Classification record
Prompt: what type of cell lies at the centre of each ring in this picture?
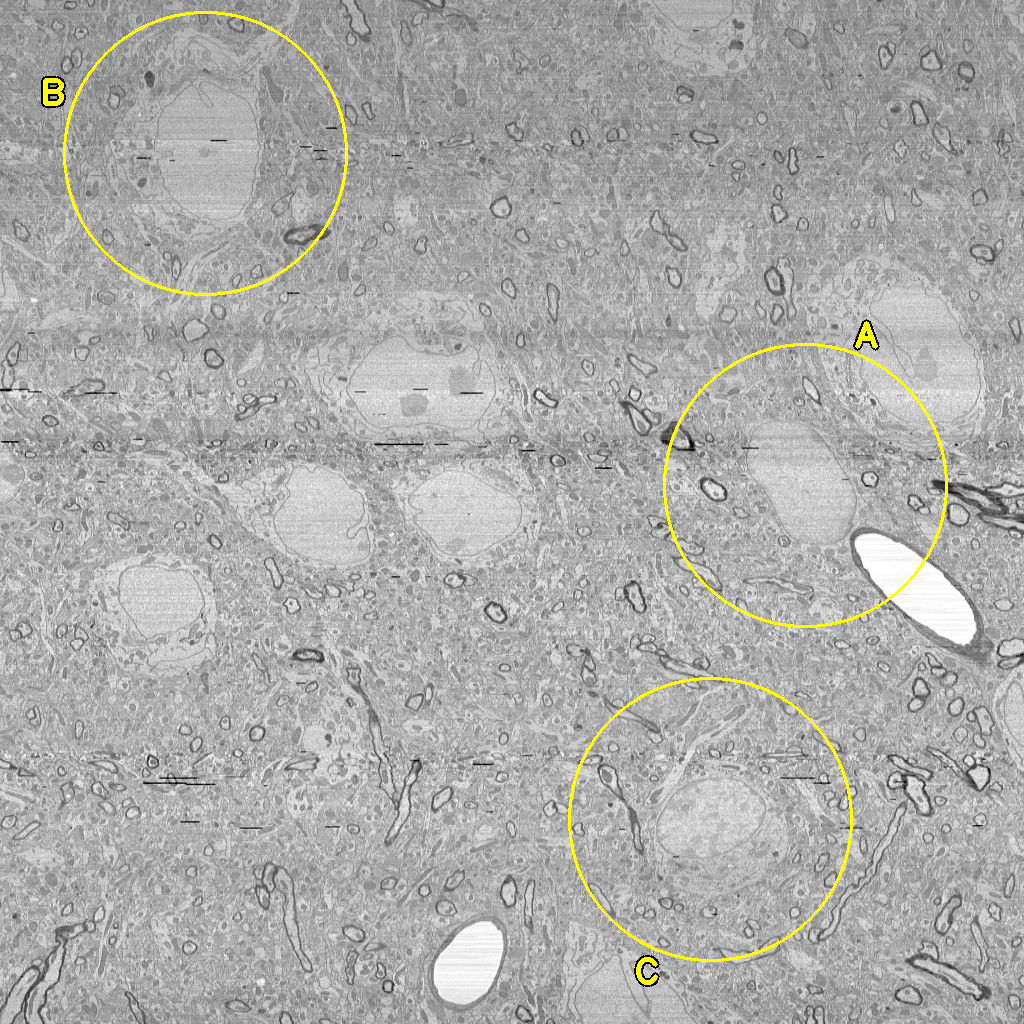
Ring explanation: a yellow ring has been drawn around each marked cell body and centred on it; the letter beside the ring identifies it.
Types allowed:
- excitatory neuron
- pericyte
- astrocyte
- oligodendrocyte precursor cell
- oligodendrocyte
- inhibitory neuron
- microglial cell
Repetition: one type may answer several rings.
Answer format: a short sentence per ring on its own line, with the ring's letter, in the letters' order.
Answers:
Ring A shows an astrocyte at its centre.
Ring B shows an excitatory neuron at its centre.
Ring C shows an oligodendrocyte at its centre.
